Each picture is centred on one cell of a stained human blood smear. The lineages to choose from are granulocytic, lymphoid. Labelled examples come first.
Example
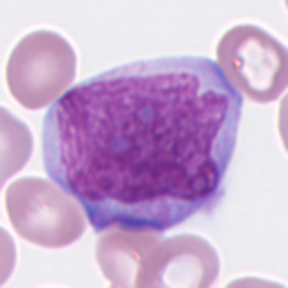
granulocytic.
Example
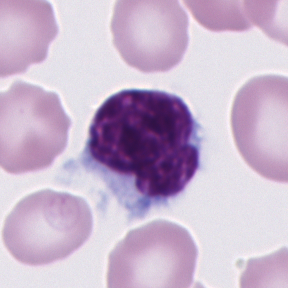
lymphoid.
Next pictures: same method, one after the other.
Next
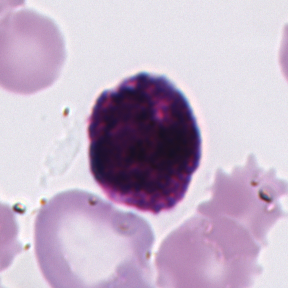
granulocytic.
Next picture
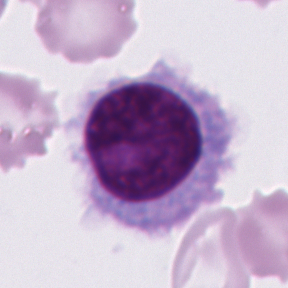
lymphoid.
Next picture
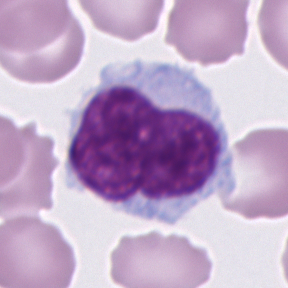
lymphoid.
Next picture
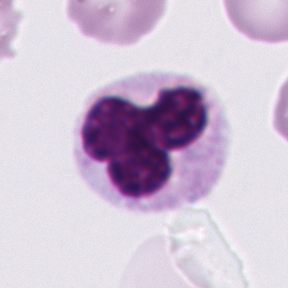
granulocytic.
